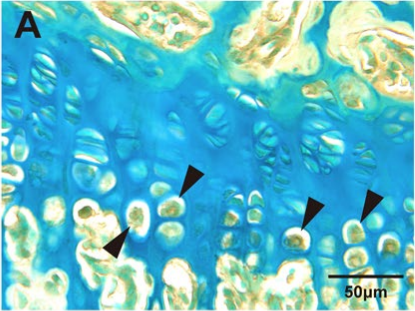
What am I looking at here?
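Growth plate cartilage with chondrocytes arranged in columns inside a blue-staining matrix, the cells becoming larger and more rounded toward the lower edge. The largest cells at the bottom of the columns, bordering bone and marrow spaces, sit in wide lacunae and show brown staining in their cytoplasm. Above the cartilage, pale, irregular spaces of bone and marrow are visible.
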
